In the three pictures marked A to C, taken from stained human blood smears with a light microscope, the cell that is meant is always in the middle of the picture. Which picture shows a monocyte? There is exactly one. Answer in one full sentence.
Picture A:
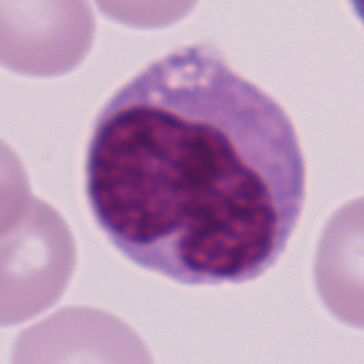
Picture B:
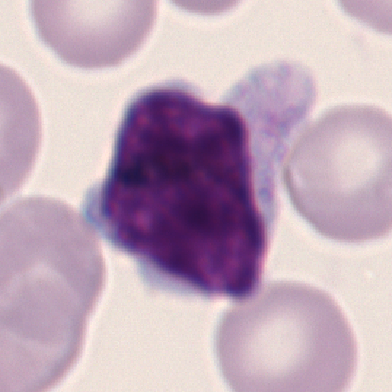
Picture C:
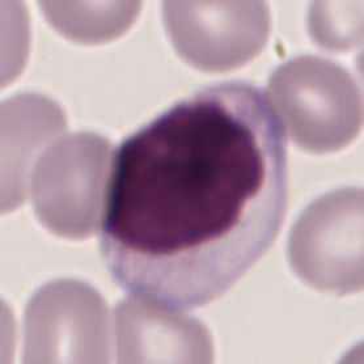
Picture A shows the monocyte.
